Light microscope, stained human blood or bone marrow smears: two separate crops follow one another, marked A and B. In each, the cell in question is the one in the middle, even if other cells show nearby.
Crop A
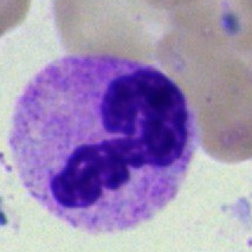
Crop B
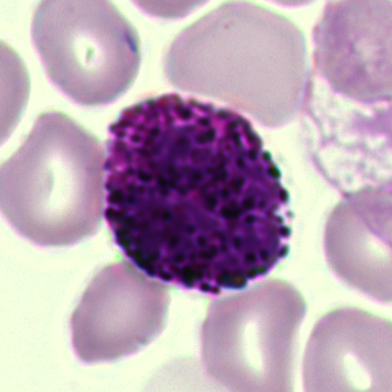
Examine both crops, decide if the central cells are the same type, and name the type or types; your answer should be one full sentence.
No, crop A matches a segmented neutrophil and crop B matches a basophil.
